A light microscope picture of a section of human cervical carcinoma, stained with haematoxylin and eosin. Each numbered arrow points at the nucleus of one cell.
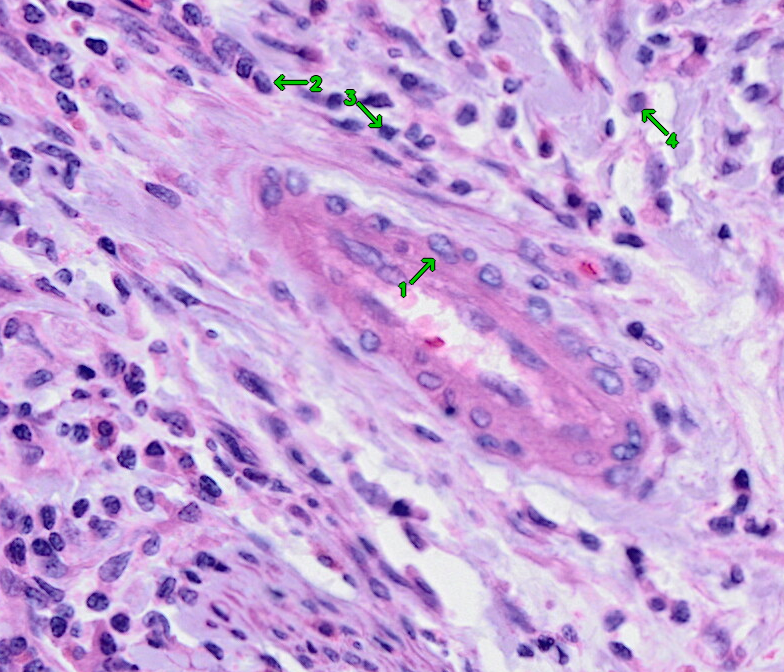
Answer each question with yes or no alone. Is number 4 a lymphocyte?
no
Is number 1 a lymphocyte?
no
